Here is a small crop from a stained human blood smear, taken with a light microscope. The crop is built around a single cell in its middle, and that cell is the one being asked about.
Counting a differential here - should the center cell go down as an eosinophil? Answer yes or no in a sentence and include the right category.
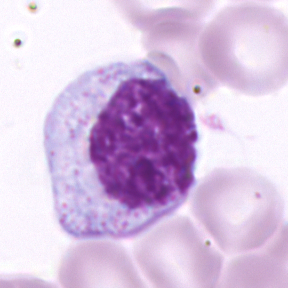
No, the cell found centrally in the crop is a myelocyte, not an eosinophil.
